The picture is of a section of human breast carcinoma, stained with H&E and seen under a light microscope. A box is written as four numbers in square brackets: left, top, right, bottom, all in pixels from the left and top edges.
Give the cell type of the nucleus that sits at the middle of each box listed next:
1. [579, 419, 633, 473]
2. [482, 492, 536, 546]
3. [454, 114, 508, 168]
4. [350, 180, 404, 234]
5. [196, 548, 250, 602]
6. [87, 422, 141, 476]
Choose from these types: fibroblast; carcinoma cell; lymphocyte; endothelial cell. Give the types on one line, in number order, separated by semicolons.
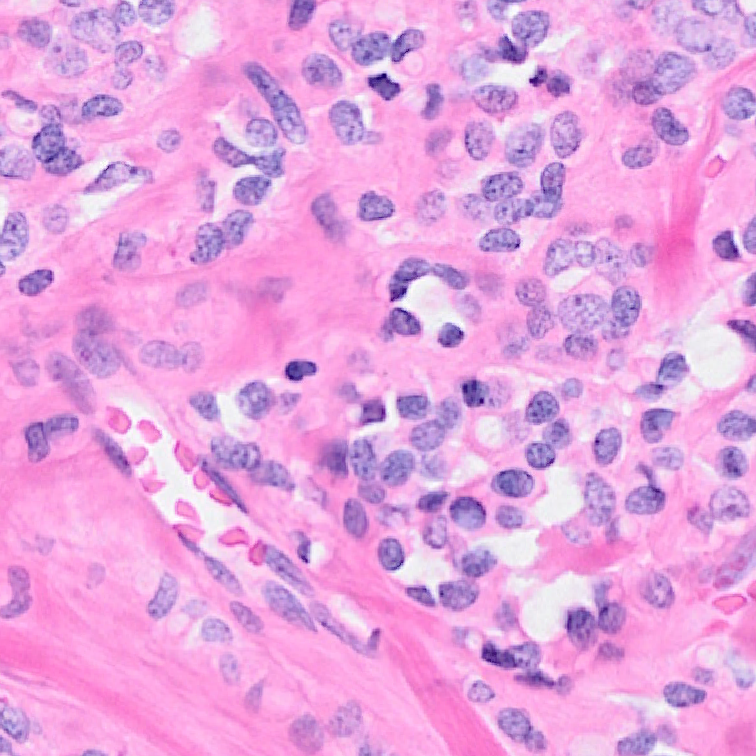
carcinoma cell; carcinoma cell; carcinoma cell; carcinoma cell; endothelial cell; endothelial cell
